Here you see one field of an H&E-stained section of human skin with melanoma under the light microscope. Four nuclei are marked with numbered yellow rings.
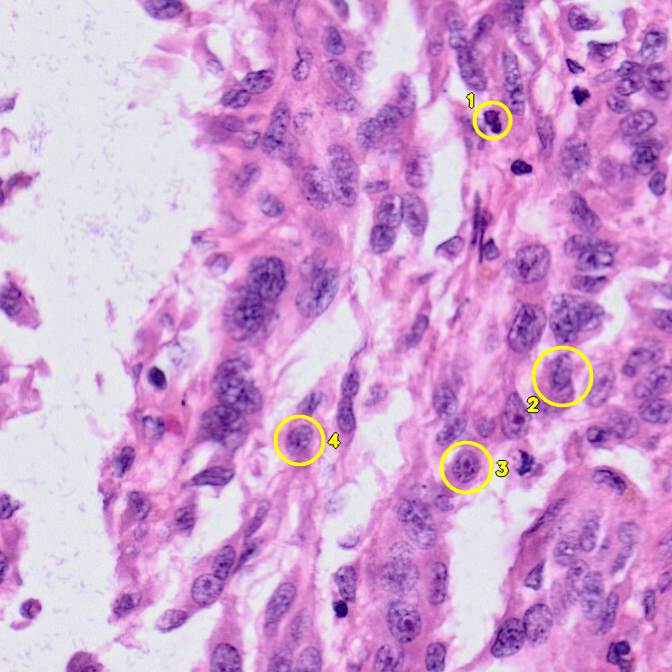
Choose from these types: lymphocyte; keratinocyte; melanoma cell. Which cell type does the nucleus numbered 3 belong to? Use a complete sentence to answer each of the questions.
The cell marked with number 3 is a melanoma cell.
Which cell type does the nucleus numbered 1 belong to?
The cell with the number 1 is a lymphocyte.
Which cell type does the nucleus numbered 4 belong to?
The cell identified by the number 4 is a melanoma cell.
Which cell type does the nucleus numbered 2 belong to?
Cell 2 in the field is a melanoma cell.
